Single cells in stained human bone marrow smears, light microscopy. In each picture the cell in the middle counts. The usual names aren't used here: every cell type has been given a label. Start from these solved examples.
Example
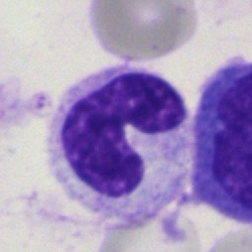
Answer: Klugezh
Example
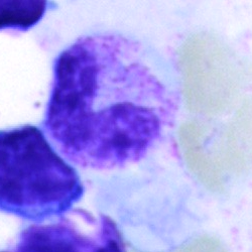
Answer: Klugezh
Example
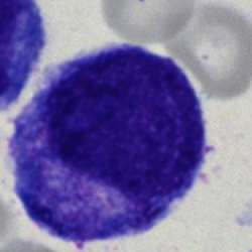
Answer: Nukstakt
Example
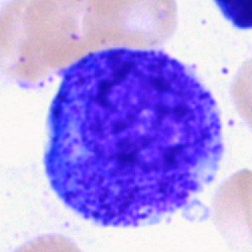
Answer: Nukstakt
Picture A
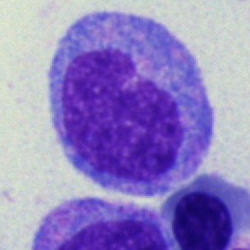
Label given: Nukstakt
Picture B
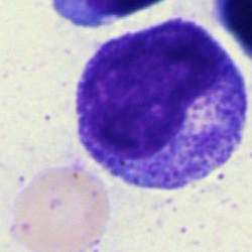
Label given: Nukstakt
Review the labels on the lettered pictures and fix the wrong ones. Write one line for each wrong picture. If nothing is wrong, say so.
None of the labels needs changing.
